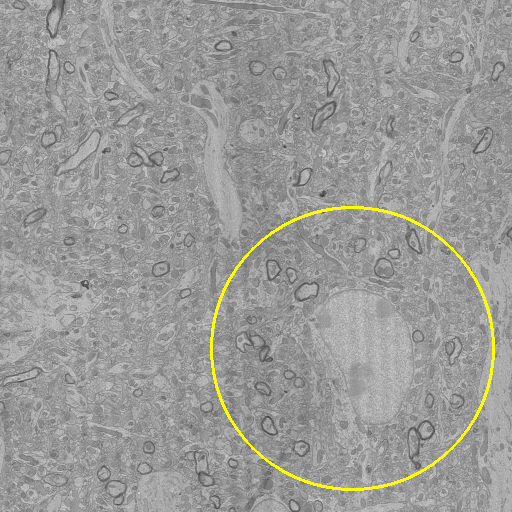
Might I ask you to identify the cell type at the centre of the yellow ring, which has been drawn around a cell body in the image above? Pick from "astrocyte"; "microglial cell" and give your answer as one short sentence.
The centre of the ring falls on an astrocyte.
